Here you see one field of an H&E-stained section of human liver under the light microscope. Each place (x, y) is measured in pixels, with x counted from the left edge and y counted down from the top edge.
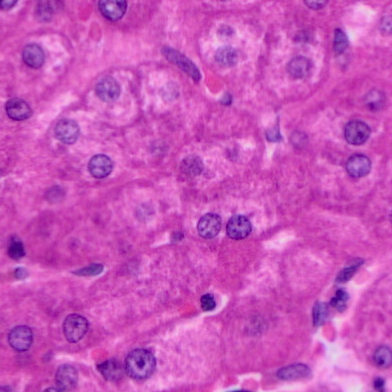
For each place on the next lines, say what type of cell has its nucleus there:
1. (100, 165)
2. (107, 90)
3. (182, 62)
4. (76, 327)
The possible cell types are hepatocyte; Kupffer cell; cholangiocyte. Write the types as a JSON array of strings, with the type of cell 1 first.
["hepatocyte", "hepatocyte", "Kupffer cell", "hepatocyte"]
